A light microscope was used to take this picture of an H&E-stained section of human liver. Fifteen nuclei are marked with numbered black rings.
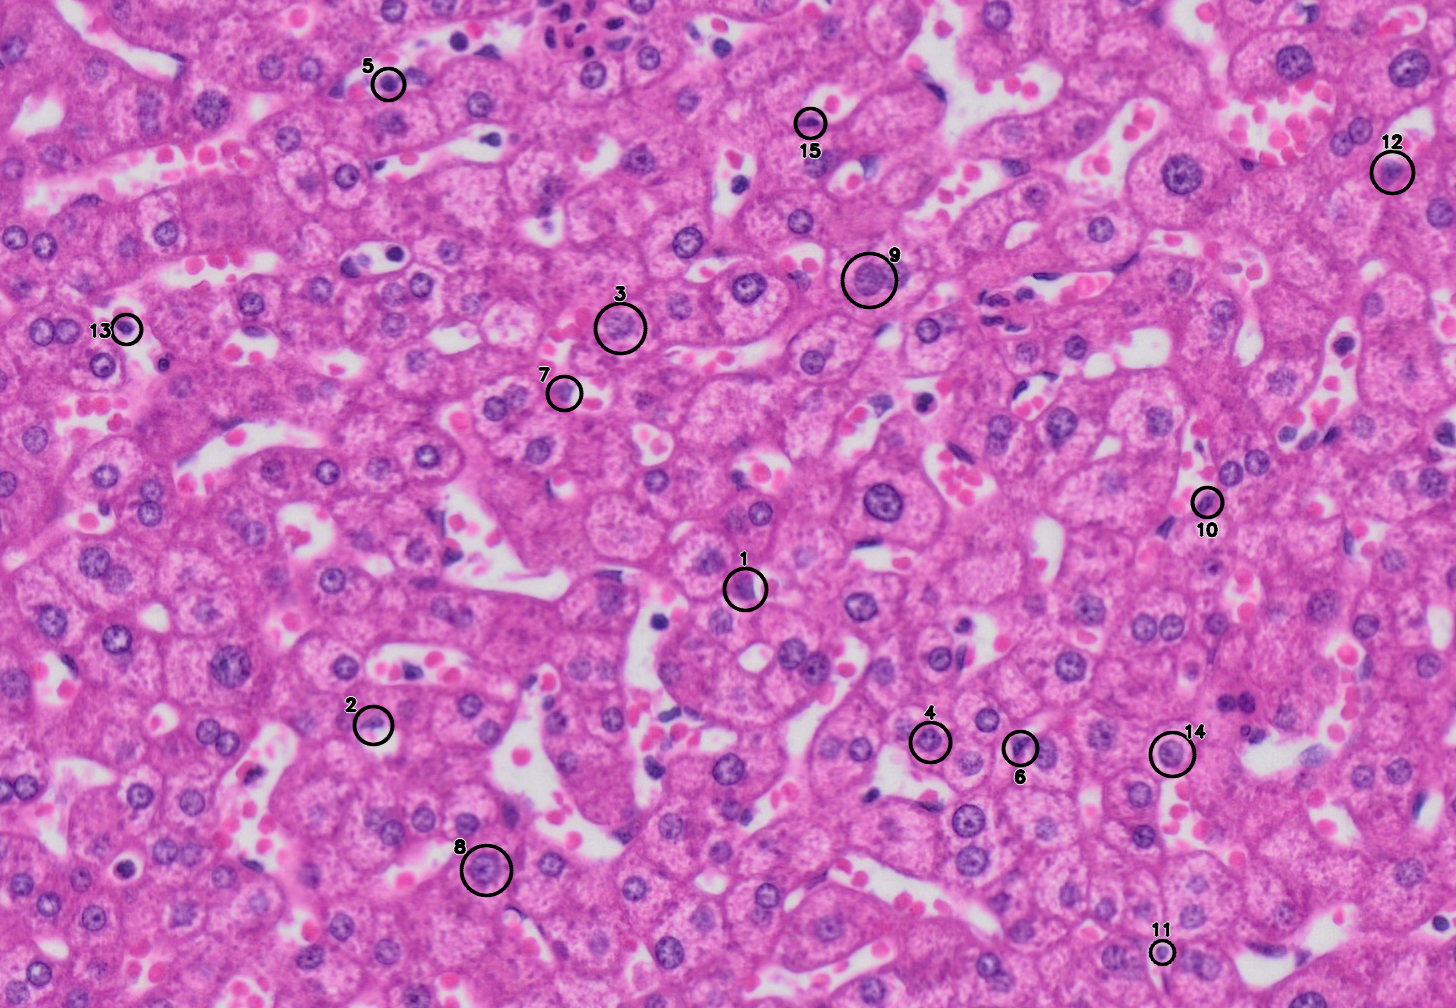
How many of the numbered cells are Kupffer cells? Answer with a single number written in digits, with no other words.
1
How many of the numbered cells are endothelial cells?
5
